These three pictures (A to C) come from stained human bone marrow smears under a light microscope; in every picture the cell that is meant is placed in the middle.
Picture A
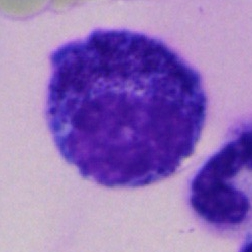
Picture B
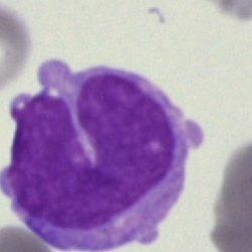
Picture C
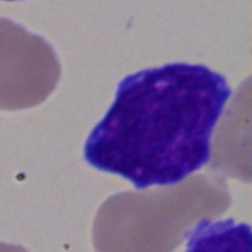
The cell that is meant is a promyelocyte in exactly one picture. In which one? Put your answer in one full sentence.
The picture with the promyelocyte is A.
